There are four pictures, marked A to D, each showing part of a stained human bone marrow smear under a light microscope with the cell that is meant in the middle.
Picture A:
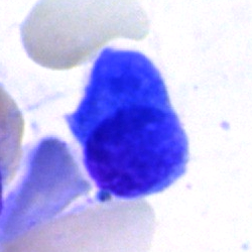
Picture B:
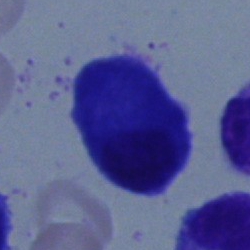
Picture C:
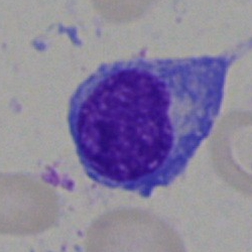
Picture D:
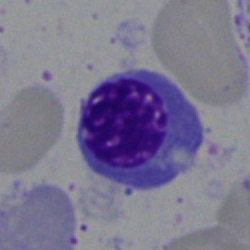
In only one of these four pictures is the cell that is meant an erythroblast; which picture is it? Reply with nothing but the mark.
D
